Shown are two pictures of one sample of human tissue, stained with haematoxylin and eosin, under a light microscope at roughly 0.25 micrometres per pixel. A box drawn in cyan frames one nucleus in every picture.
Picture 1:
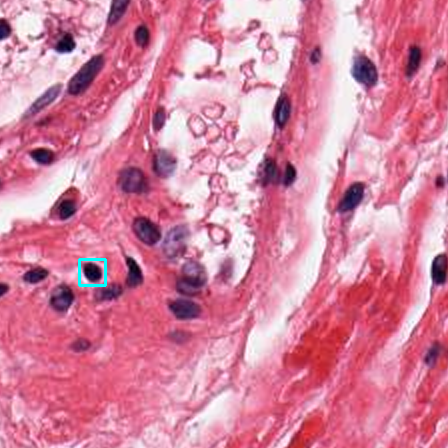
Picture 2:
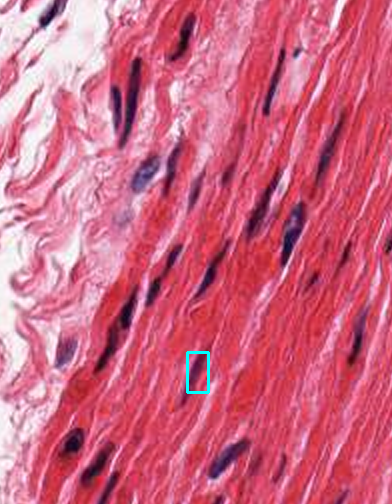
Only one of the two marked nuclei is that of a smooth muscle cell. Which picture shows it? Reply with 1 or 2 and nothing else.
2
